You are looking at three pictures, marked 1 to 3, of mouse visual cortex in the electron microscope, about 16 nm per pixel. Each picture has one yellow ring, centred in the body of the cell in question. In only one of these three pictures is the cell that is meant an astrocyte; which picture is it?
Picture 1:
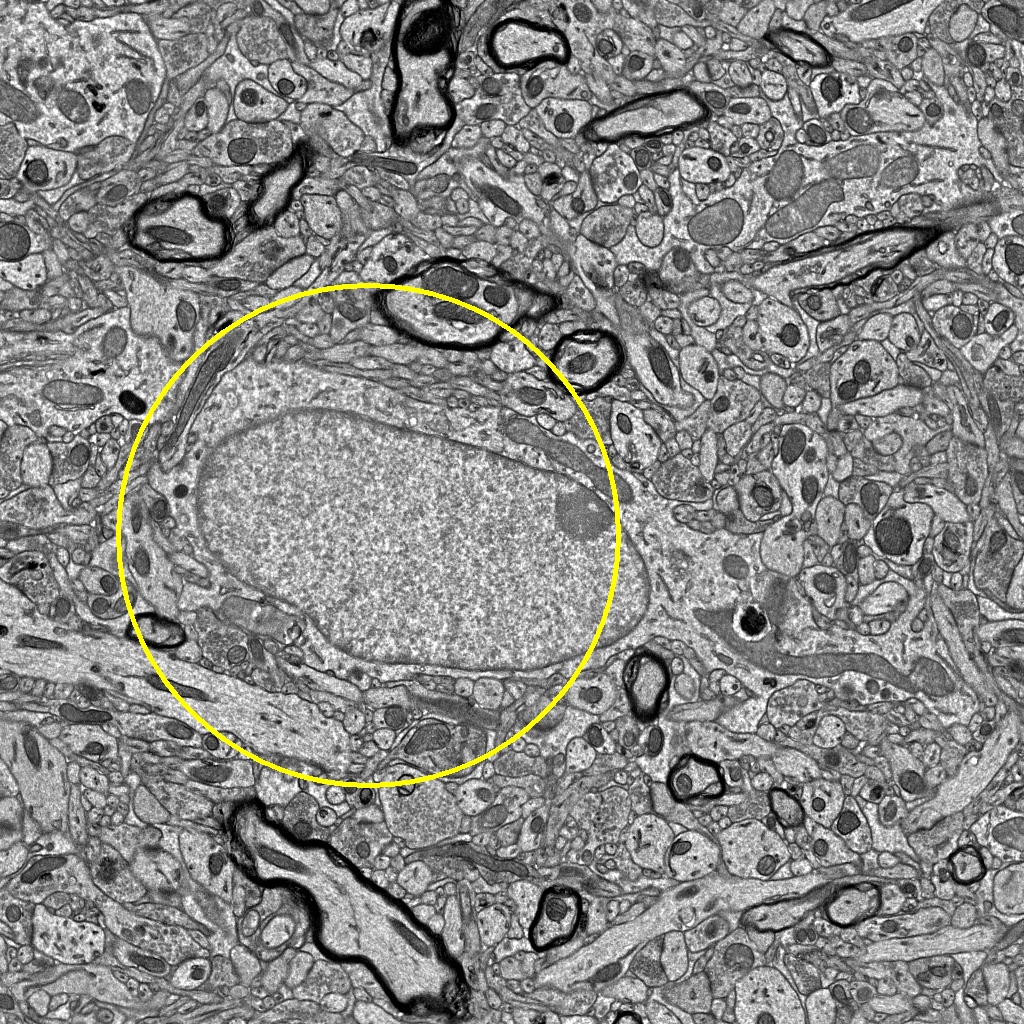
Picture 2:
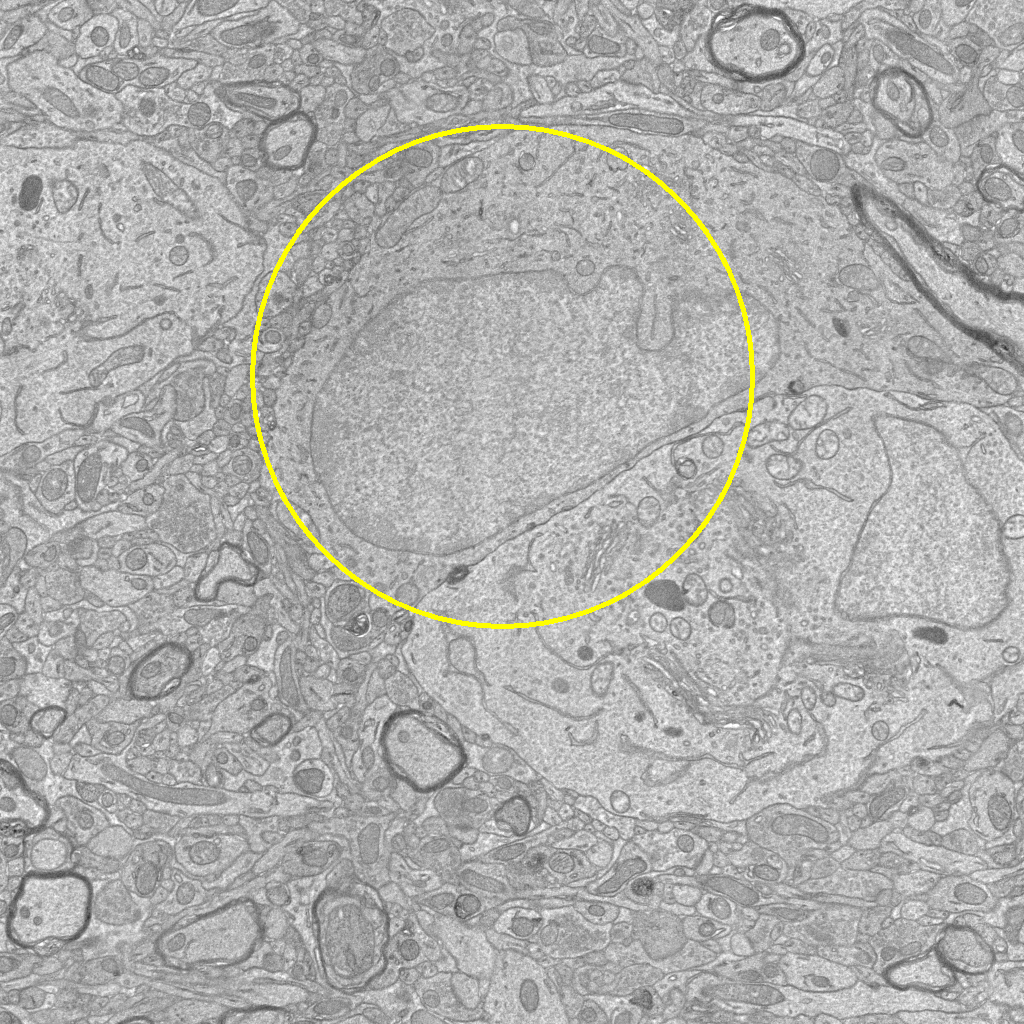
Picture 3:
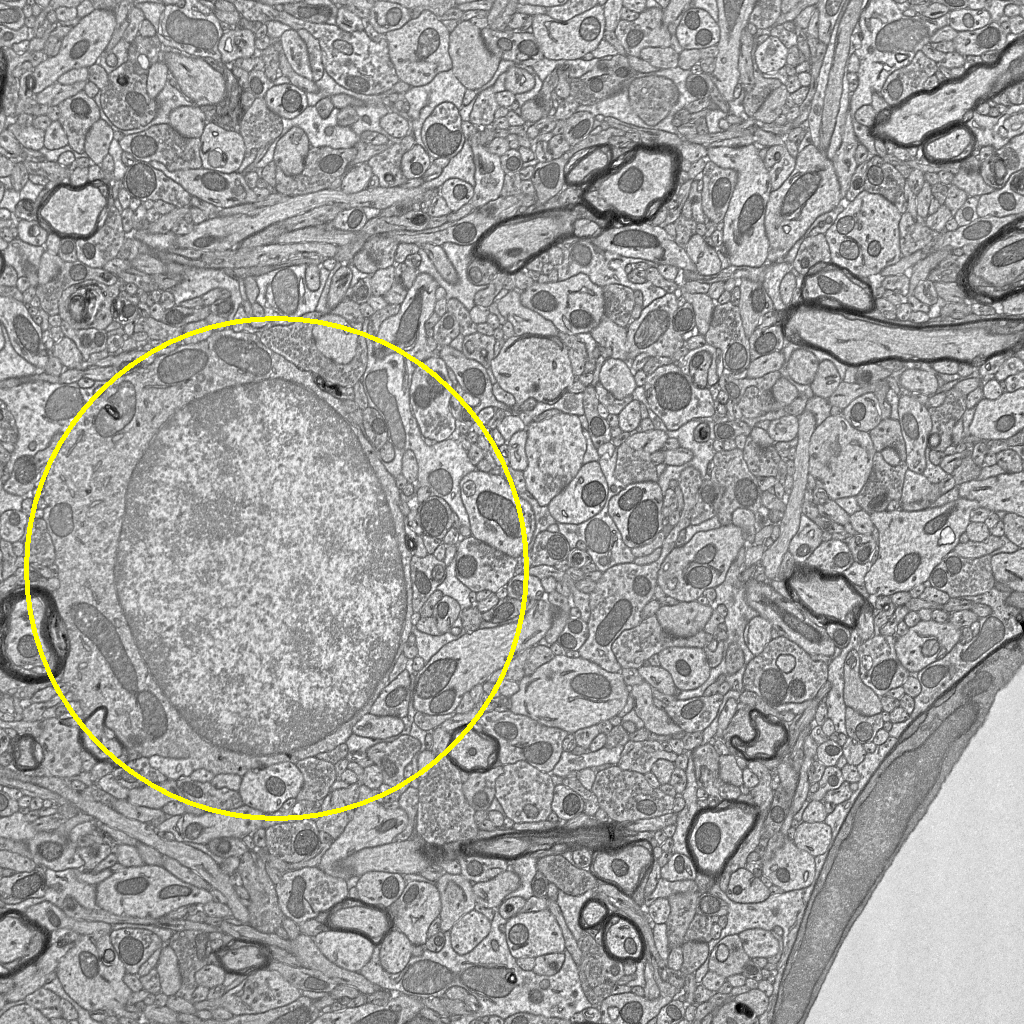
Picture 1 is the one that shows the astrocyte.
